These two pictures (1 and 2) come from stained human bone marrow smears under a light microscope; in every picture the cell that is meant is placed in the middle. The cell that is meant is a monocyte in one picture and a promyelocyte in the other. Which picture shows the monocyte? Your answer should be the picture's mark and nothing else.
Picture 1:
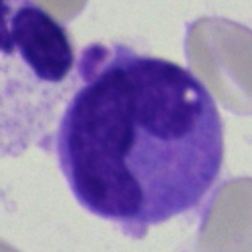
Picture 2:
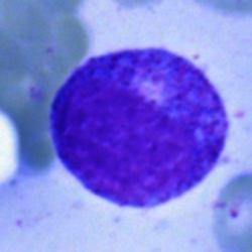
1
